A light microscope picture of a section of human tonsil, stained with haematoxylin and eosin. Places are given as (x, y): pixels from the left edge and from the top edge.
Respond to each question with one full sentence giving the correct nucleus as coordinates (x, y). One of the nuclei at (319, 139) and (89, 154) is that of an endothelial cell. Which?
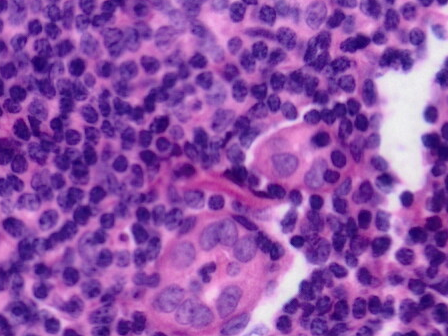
Of the two options, the nucleus at (319, 139) is the one that belongs to an endothelial cell.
